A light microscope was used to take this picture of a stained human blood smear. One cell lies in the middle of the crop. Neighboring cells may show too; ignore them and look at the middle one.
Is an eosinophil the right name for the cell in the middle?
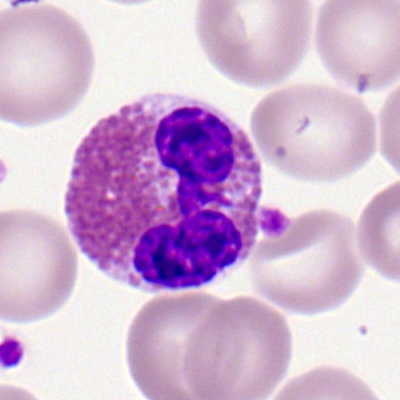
yes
